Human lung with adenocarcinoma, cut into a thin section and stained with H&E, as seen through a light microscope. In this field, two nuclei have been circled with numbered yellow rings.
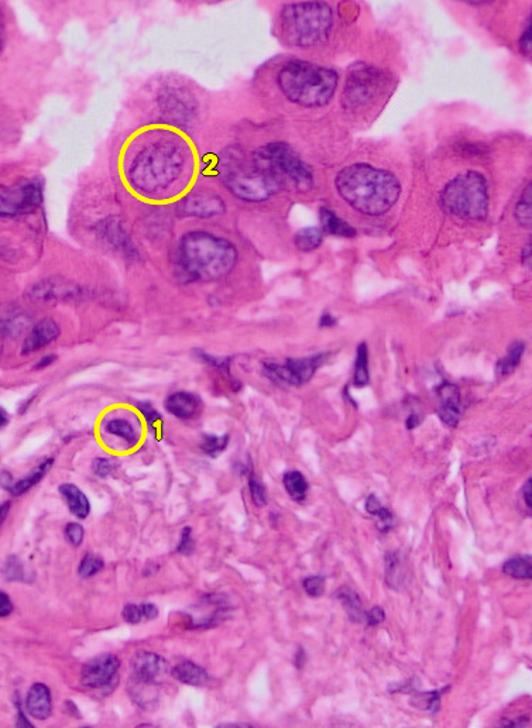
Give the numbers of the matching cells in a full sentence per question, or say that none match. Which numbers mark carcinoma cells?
With the exception of cell 2, no marked cell is a carcinoma cell.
